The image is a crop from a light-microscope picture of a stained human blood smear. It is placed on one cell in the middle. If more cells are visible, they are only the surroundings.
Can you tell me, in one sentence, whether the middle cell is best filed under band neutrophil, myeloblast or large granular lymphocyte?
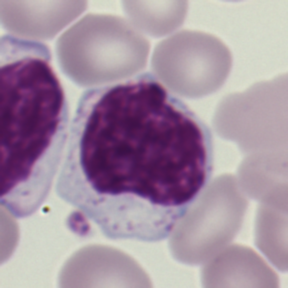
In the middle of this smear crop is a large granular lymphocyte.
